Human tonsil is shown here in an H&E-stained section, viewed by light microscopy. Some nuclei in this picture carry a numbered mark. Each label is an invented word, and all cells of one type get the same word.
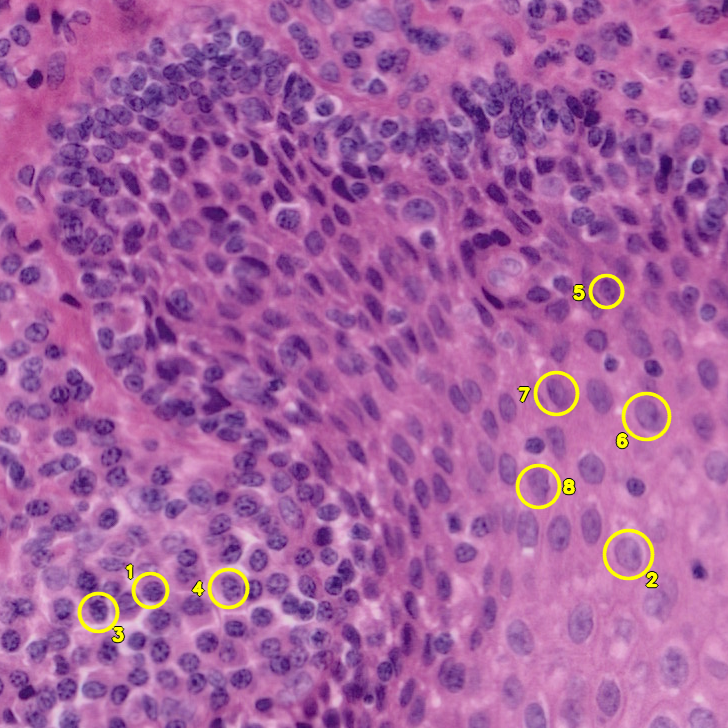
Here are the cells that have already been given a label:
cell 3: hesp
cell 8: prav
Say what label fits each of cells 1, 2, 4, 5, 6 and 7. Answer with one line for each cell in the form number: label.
1: hesp
2: prav
4: hesp
5: prav
6: prav
7: prav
